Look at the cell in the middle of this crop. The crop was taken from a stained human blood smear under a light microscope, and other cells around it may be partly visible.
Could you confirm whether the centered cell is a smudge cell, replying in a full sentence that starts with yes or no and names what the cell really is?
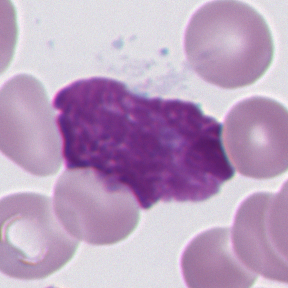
Yes, the cell in the center of this crop is a smudge cell.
